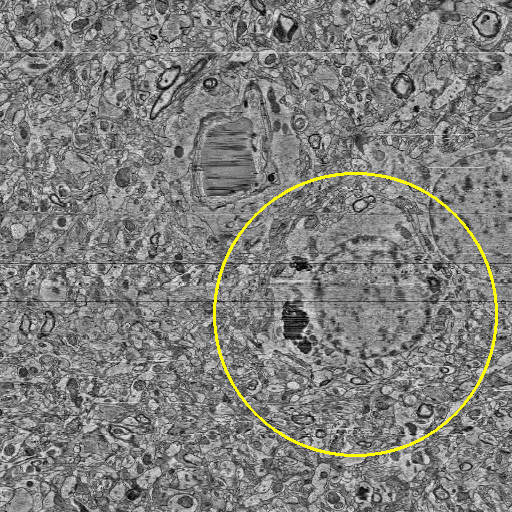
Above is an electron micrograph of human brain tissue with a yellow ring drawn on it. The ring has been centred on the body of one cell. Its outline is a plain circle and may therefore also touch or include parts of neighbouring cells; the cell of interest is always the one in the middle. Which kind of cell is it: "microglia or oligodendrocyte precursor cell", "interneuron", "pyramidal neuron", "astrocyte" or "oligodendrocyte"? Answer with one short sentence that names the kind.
The ring's central cell body is that of an astrocyte.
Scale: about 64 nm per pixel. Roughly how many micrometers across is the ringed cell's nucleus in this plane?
The nucleus has a long axis of about 9 micrometres and a short axis of about 8 micrometres in this plane.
